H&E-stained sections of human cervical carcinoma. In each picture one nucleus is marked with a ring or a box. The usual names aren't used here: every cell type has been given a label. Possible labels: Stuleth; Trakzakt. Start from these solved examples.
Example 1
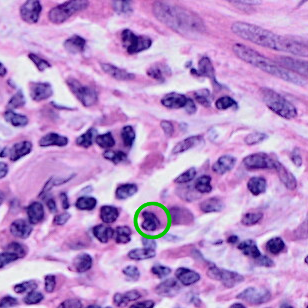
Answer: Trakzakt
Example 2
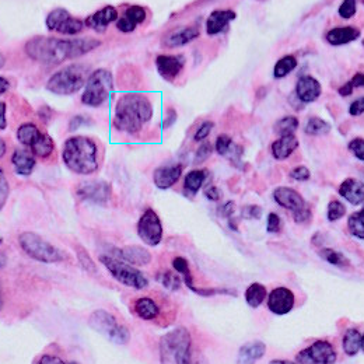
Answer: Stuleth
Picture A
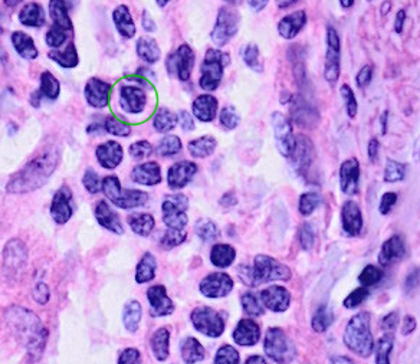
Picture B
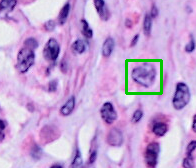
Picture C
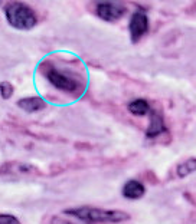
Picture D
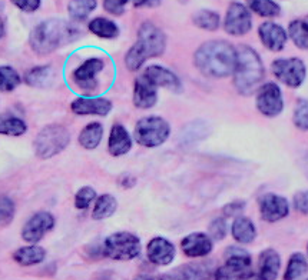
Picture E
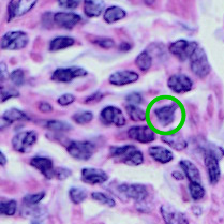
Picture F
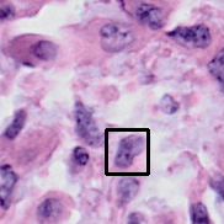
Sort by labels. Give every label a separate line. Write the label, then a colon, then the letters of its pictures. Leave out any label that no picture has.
Stuleth: B, C, F
Trakzakt: A, D, E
